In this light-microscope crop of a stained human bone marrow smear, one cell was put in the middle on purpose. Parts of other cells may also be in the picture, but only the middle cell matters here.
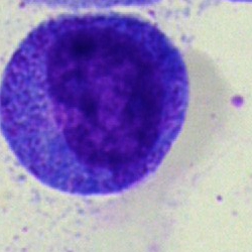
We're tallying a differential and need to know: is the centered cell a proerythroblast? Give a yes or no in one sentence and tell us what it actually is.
No, a promyelocyte rather than a proerythroblast is the cell at the centre of the crop.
